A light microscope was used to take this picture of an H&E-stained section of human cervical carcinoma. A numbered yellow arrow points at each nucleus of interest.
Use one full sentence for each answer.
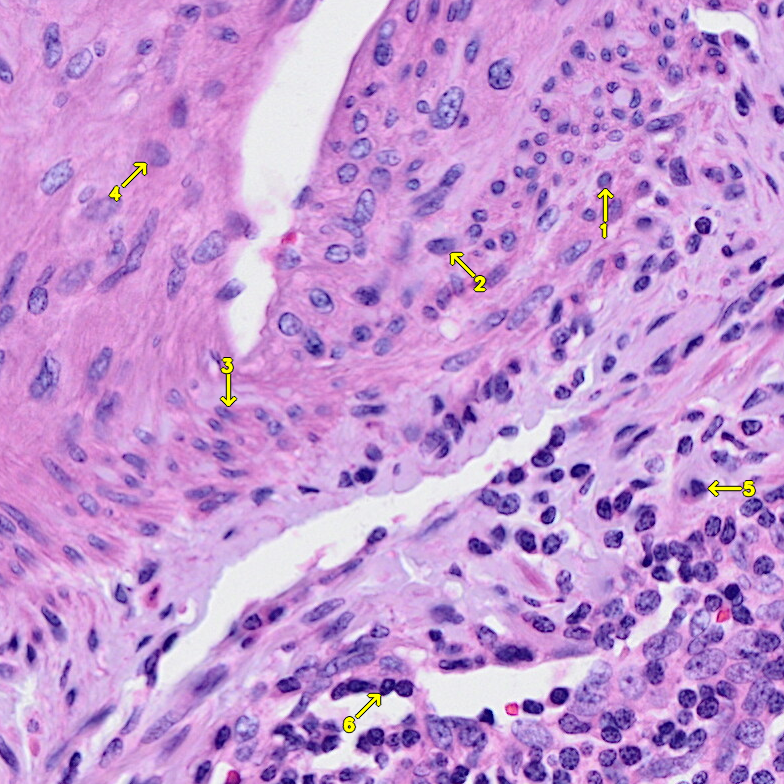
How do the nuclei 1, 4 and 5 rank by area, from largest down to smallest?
From largest to smallest, the order is 4, 5, 1.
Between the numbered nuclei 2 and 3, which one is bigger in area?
Number 2 is larger; its area is about 2 times that of number 3.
